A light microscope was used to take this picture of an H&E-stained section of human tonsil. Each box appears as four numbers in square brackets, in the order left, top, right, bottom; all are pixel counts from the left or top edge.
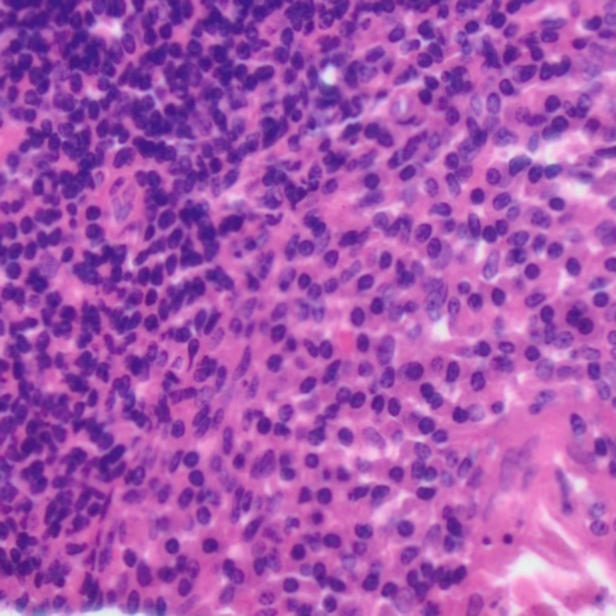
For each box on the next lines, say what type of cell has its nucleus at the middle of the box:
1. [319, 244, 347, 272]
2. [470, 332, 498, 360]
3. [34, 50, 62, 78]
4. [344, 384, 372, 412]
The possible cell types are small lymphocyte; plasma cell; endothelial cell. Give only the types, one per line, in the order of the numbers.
plasma cell
plasma cell
small lymphocyte
plasma cell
